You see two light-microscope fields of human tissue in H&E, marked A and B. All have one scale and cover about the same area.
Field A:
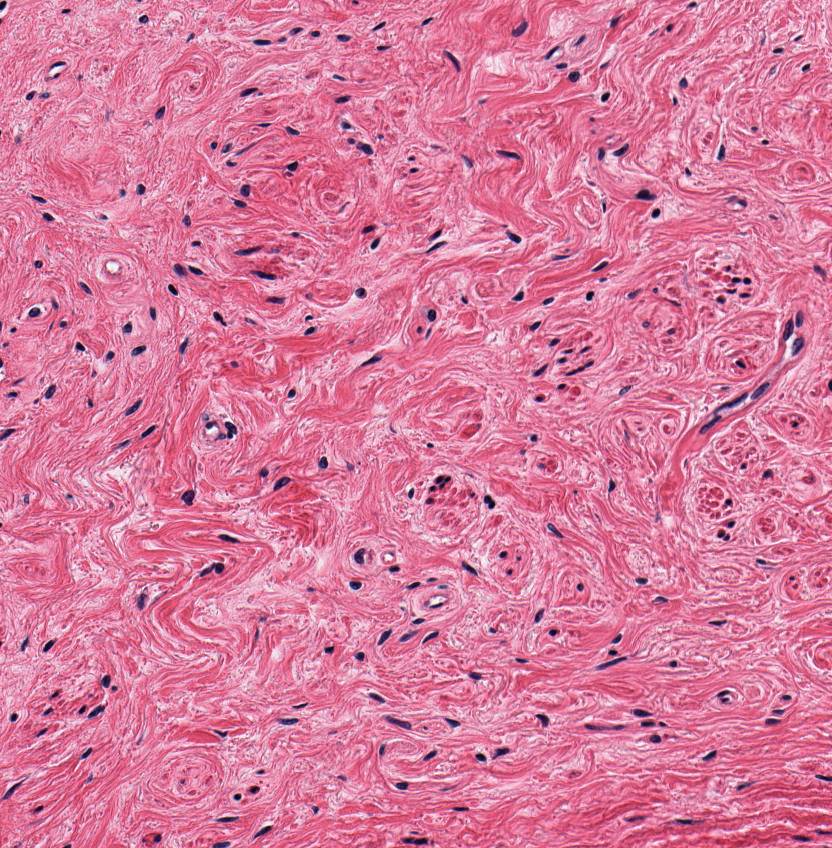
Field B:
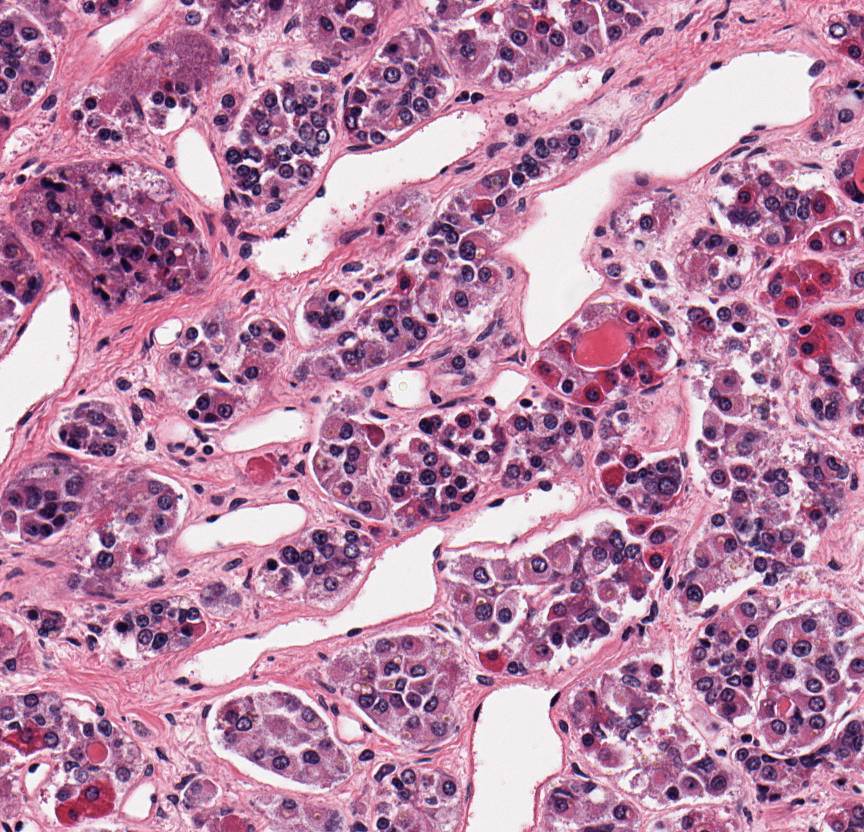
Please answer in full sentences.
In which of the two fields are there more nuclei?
The larger number of nuclei is in field B.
